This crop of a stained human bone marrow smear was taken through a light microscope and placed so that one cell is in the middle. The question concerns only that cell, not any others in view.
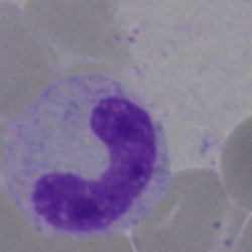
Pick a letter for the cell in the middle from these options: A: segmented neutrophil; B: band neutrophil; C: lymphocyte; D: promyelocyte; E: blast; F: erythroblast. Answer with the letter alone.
B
